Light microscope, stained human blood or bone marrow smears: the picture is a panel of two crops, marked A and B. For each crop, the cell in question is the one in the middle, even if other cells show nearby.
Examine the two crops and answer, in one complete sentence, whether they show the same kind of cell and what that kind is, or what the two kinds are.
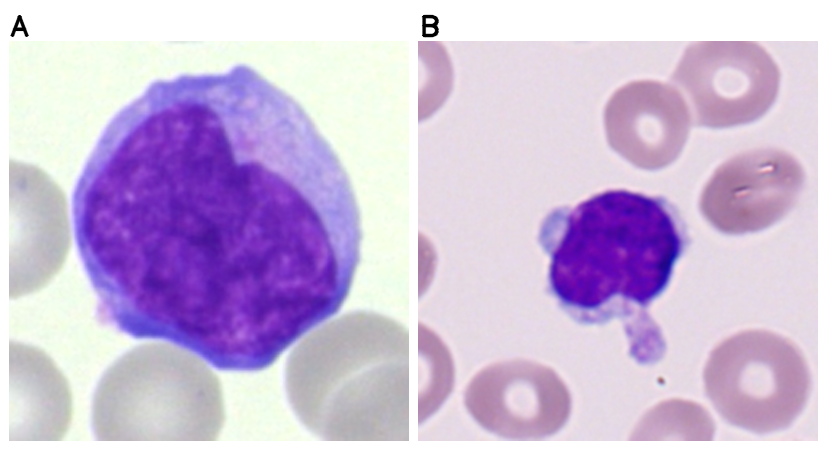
No, shown in crop A is a blast, and shown in crop B is a lymphocyte.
